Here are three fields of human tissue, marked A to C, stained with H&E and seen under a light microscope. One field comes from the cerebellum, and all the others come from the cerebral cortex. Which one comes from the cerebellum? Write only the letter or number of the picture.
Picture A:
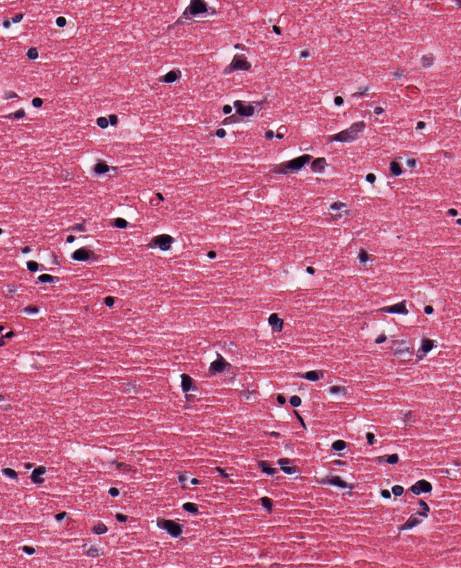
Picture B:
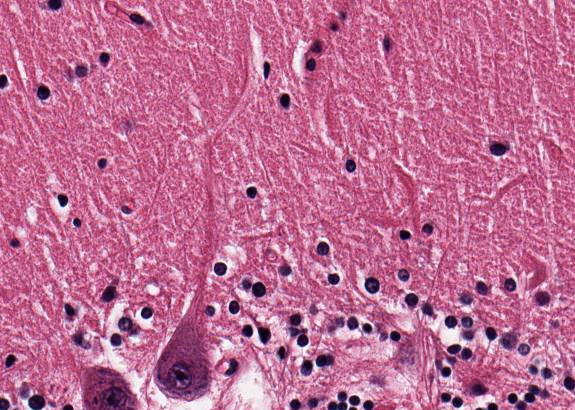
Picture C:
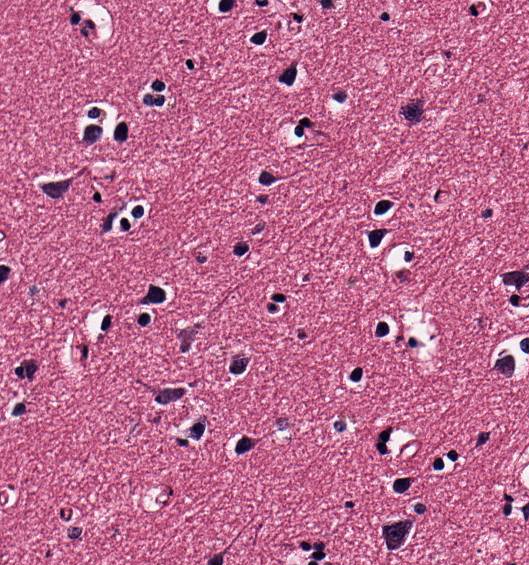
B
